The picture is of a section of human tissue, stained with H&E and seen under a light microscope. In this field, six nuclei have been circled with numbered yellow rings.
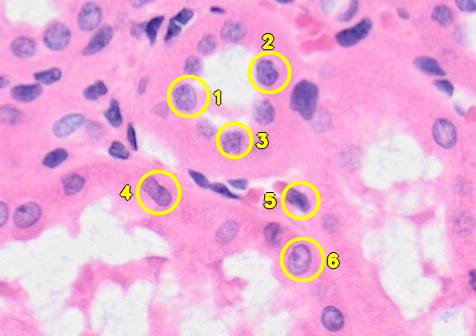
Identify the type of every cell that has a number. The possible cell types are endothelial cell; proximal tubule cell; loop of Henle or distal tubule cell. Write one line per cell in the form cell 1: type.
cell 1: loop of Henle or distal tubule cell
cell 2: loop of Henle or distal tubule cell
cell 3: loop of Henle or distal tubule cell
cell 4: proximal tubule cell
cell 5: endothelial cell
cell 6: proximal tubule cell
